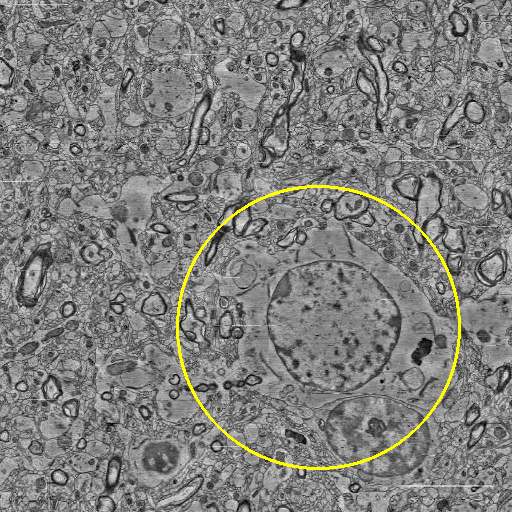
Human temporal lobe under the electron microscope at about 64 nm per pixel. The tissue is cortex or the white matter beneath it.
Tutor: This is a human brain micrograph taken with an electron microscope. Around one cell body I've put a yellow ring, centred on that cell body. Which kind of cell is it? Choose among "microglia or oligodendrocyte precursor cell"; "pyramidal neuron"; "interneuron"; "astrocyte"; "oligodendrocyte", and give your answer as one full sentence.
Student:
Going by your list, the cell centred in the yellow ring is an astrocyte.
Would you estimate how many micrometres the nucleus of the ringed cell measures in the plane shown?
In this plane, the nucleus measures approximately 9 micrometres across.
